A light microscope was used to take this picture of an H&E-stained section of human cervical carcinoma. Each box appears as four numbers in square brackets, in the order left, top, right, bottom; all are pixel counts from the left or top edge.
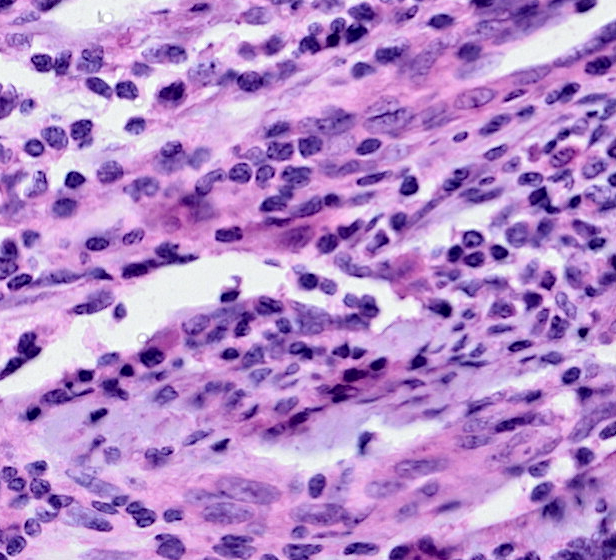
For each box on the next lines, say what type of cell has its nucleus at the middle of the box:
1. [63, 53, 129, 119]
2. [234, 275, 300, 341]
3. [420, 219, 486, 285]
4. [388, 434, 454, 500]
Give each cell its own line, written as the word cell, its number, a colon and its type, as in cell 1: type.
cell 1: lymphocyte
cell 2: lymphocyte
cell 3: lymphocyte
cell 4: endothelial cell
